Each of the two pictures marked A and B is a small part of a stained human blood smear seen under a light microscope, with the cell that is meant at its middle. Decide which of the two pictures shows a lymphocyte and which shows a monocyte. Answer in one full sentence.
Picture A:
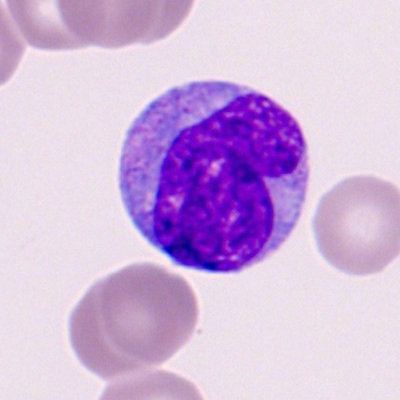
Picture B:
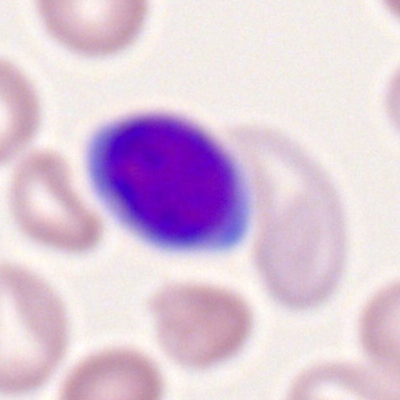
Picture A is of a monocyte, and picture B is of a lymphocyte.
